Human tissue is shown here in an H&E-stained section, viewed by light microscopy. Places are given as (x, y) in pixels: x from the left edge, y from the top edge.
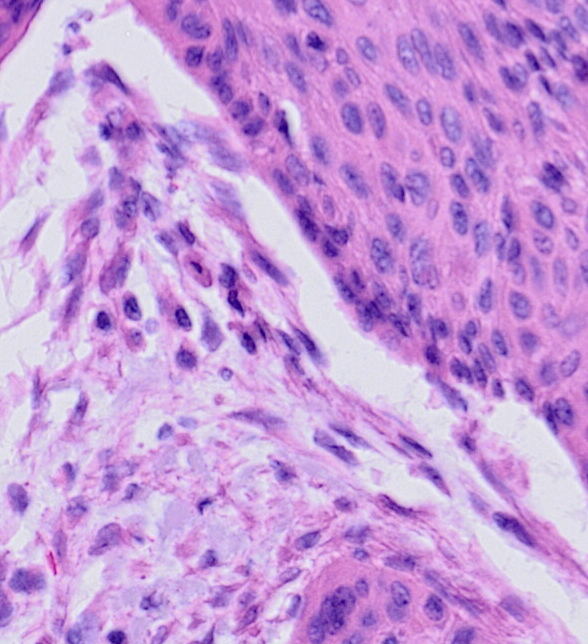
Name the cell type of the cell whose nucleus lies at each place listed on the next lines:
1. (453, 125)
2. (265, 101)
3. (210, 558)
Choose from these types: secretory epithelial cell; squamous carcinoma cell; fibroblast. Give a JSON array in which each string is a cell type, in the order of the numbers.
["squamous carcinoma cell", "squamous carcinoma cell", "fibroblast"]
